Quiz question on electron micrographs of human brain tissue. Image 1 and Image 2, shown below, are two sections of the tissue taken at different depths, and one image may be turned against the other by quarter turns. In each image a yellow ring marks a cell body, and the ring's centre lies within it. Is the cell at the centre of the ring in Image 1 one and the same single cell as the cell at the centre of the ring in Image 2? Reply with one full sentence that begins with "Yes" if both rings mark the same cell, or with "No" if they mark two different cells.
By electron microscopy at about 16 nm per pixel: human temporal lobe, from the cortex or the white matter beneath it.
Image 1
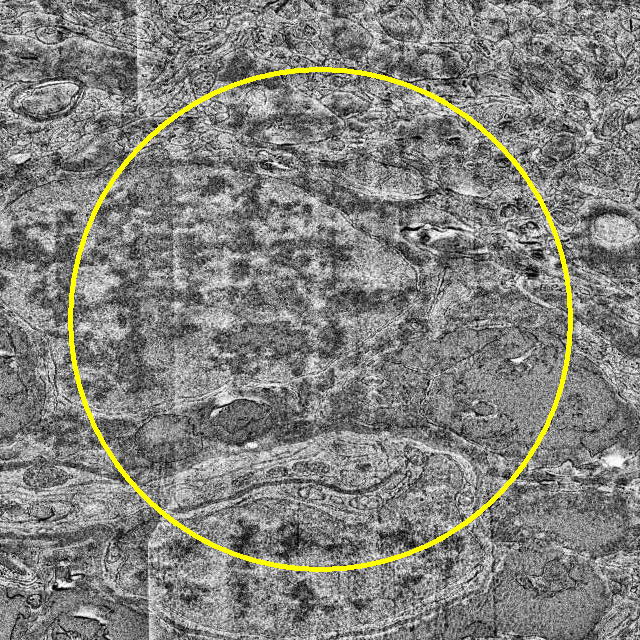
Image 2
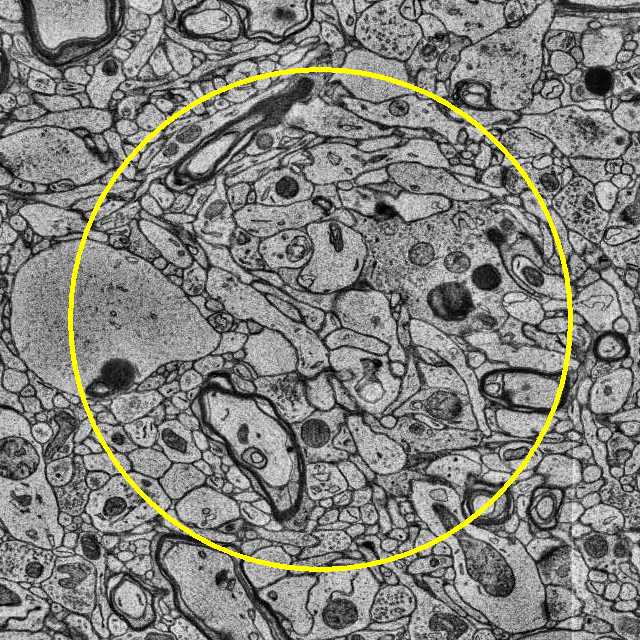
No, these yellow rings each mark a separate cell.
